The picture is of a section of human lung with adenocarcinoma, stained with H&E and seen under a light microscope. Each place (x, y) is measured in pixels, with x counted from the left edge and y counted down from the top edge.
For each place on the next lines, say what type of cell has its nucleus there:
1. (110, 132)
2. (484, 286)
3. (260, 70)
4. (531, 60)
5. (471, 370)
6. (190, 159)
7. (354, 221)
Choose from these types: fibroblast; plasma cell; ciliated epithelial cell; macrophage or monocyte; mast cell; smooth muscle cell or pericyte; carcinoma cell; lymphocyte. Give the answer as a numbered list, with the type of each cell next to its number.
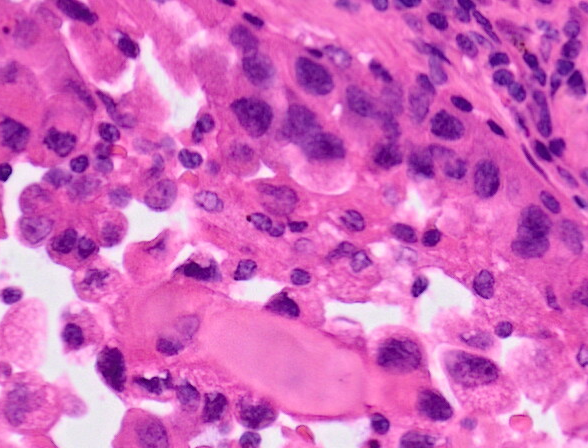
1. lymphocyte
2. macrophage or monocyte
3. carcinoma cell
4. lymphocyte
5. carcinoma cell
6. lymphocyte
7. macrophage or monocyte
